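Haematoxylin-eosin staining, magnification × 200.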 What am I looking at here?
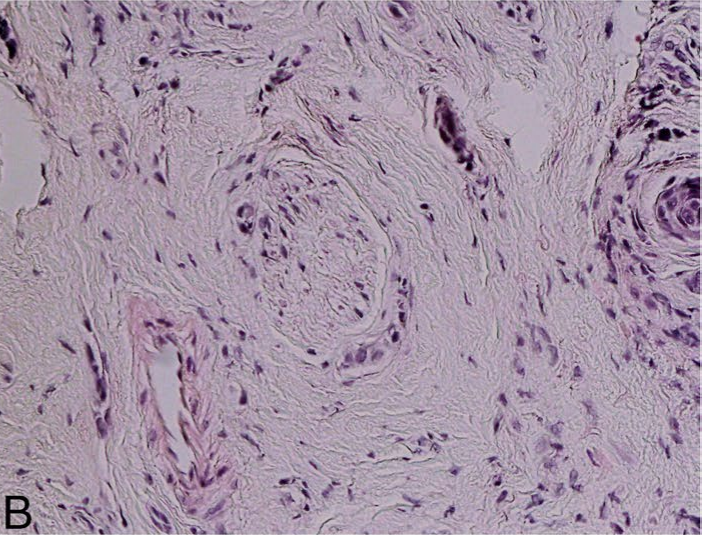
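Here a tumour is seen spreading around a small nerve within dense fibrous tissue. In the middle lies a rounded nerve bundle, pale and finely fibrillar with scattered slender nuclei, bounded by a thin sheath. Along its rim sit small clusters of tumour cells with larger, darker purple nuclei, wrapping part of its circumference. Around it the stroma is pale, collagen-rich and sparsely cellular with spindle nuclei. Near the lower left a small vessel runs with a pink wall, and at the right edge another nest of cells shows a concentric arrangement.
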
